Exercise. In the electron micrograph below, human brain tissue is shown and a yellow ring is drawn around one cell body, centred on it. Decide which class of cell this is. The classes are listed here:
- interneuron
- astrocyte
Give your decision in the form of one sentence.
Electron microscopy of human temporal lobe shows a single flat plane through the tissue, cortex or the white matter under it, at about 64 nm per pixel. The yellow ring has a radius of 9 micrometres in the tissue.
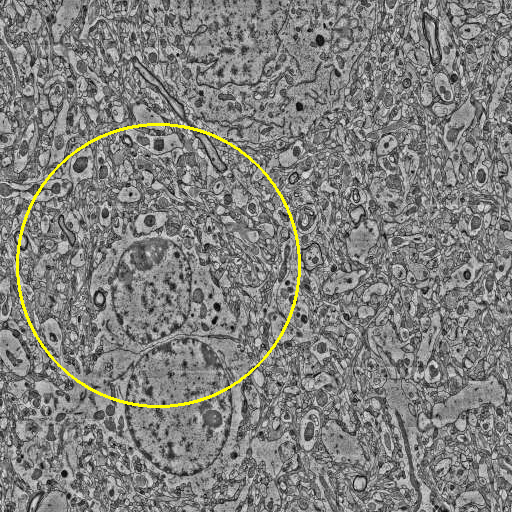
The cell body marked by the ring belongs to an astrocyte.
